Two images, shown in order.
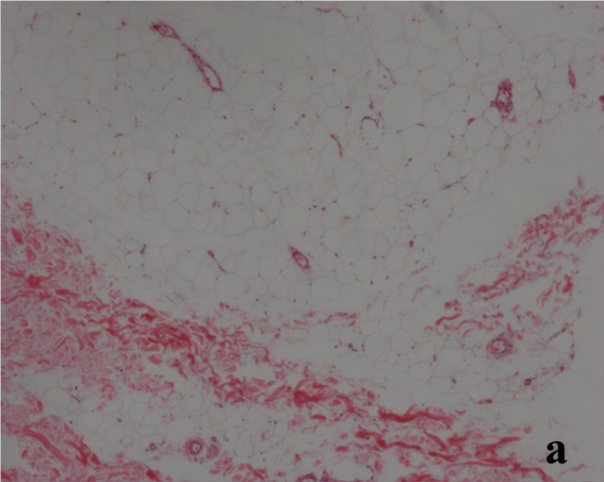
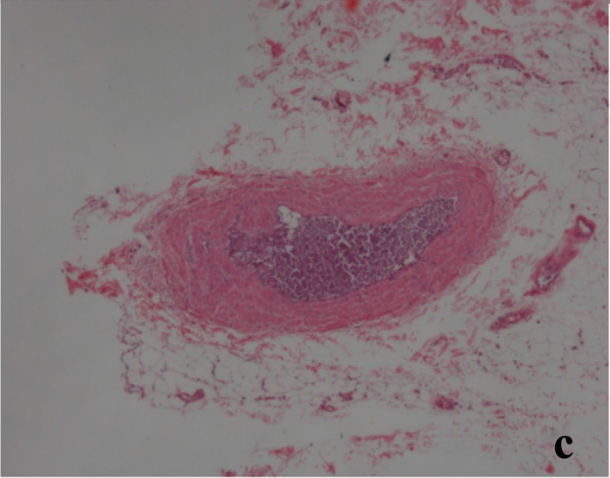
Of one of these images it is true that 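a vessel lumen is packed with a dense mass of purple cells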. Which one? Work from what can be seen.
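Second image: a large thick-walled vessel whose lumen is filled with a purple cellular mass. First image: only small vessels scattered through fat and collagen, with no filled lumen visible at this scale. The answer: the second image.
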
